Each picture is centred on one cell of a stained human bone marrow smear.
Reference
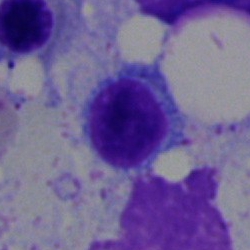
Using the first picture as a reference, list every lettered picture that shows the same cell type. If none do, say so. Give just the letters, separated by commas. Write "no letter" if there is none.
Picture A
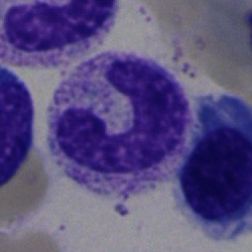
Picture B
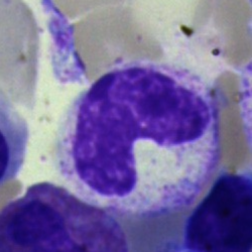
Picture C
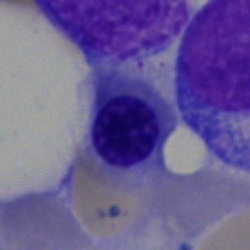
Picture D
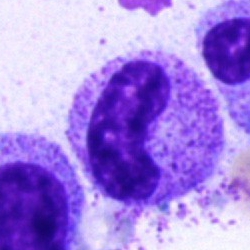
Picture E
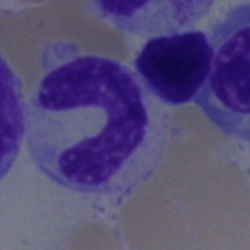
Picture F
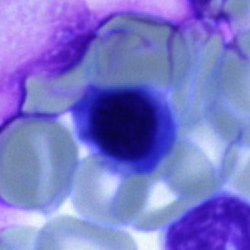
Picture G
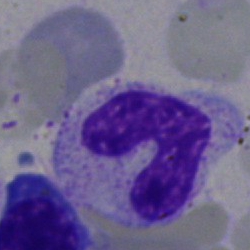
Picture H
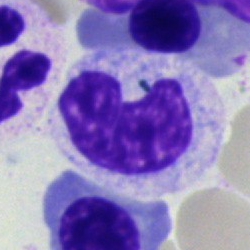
C, F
